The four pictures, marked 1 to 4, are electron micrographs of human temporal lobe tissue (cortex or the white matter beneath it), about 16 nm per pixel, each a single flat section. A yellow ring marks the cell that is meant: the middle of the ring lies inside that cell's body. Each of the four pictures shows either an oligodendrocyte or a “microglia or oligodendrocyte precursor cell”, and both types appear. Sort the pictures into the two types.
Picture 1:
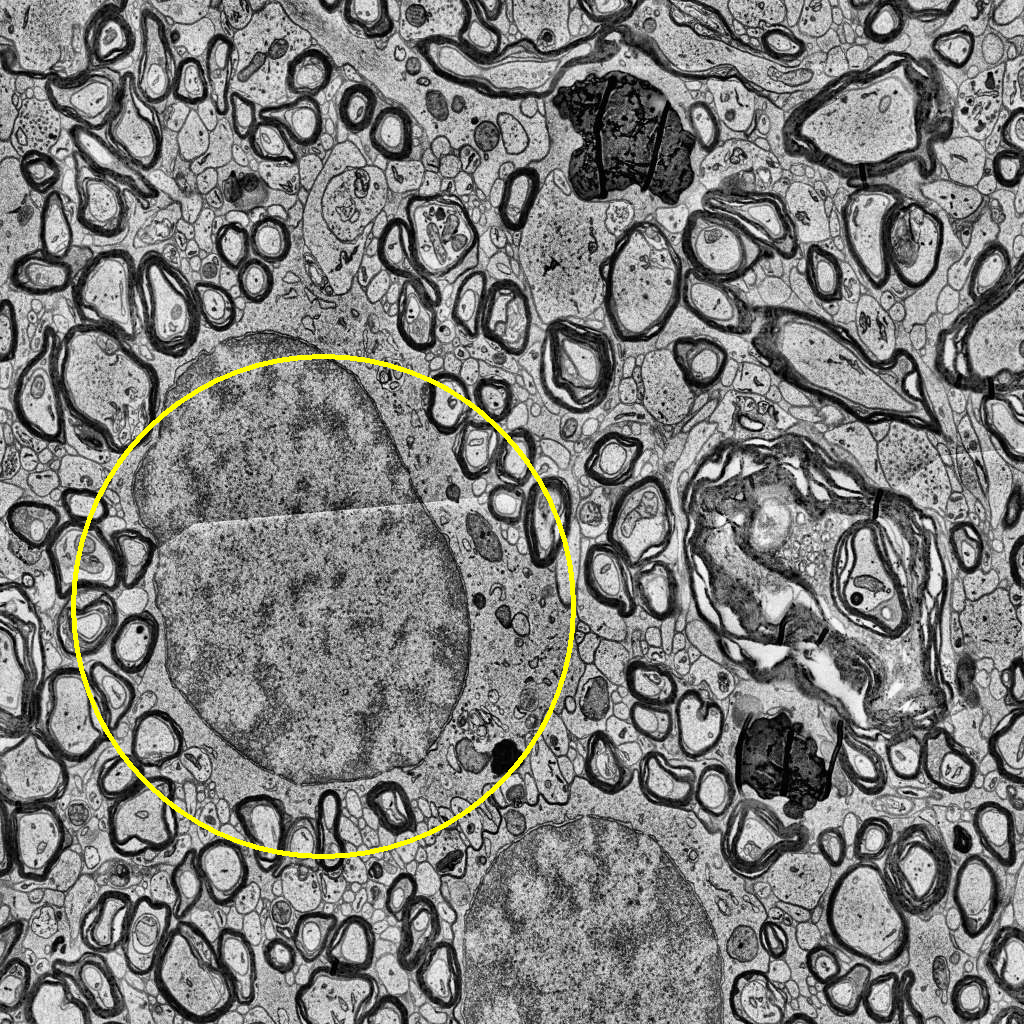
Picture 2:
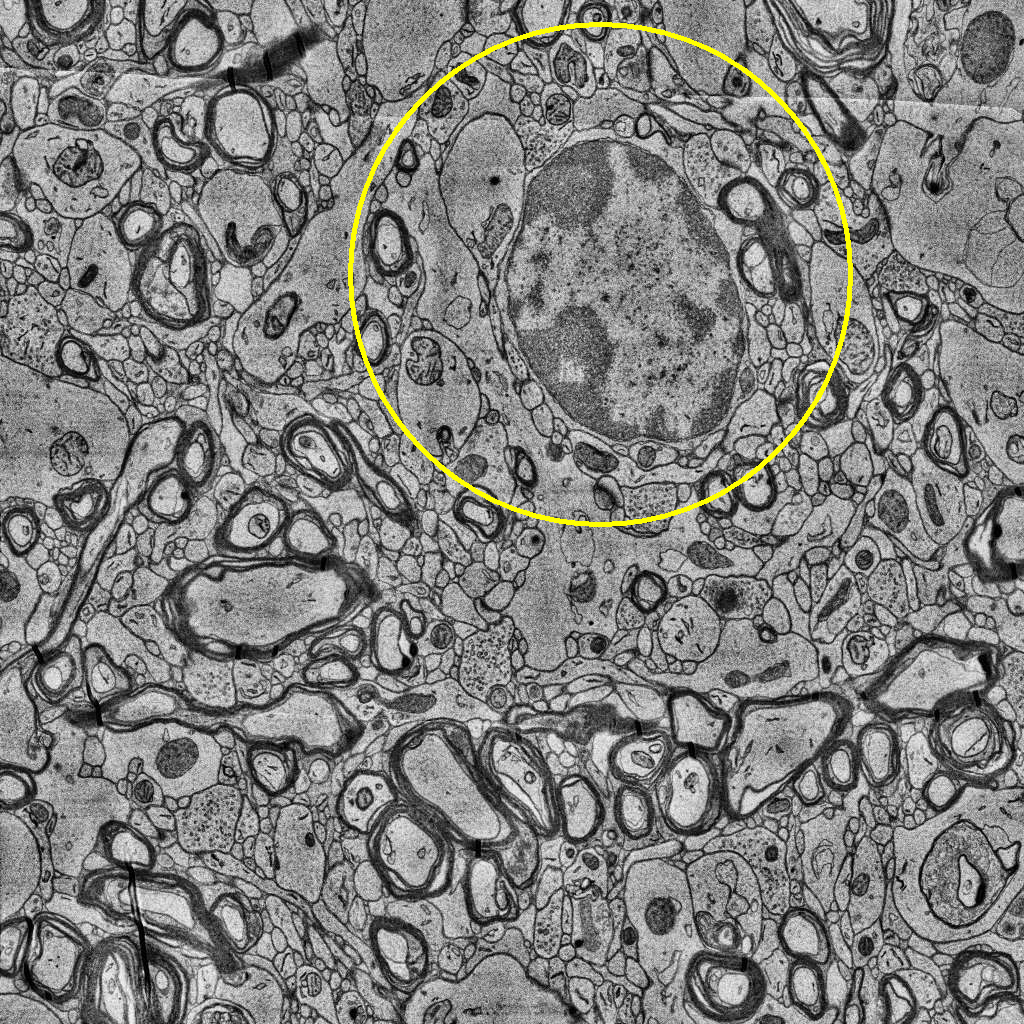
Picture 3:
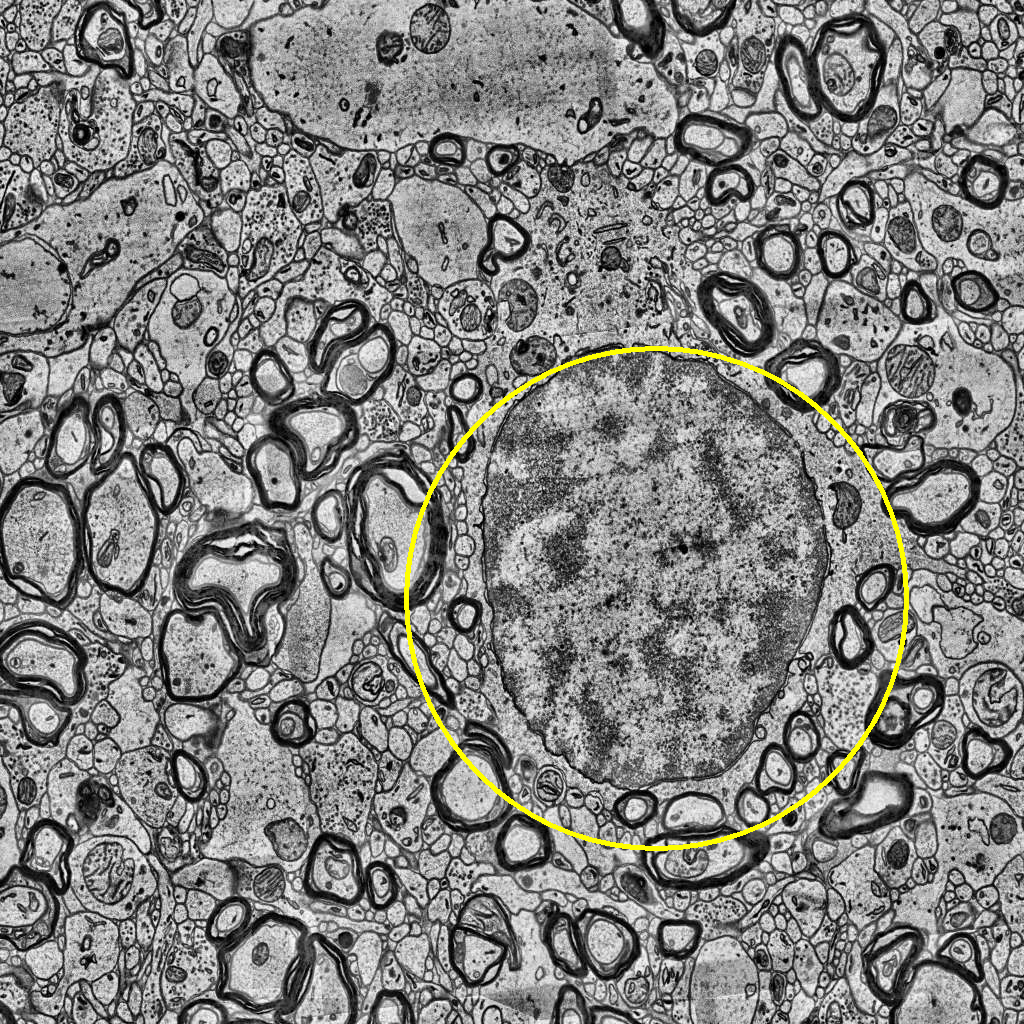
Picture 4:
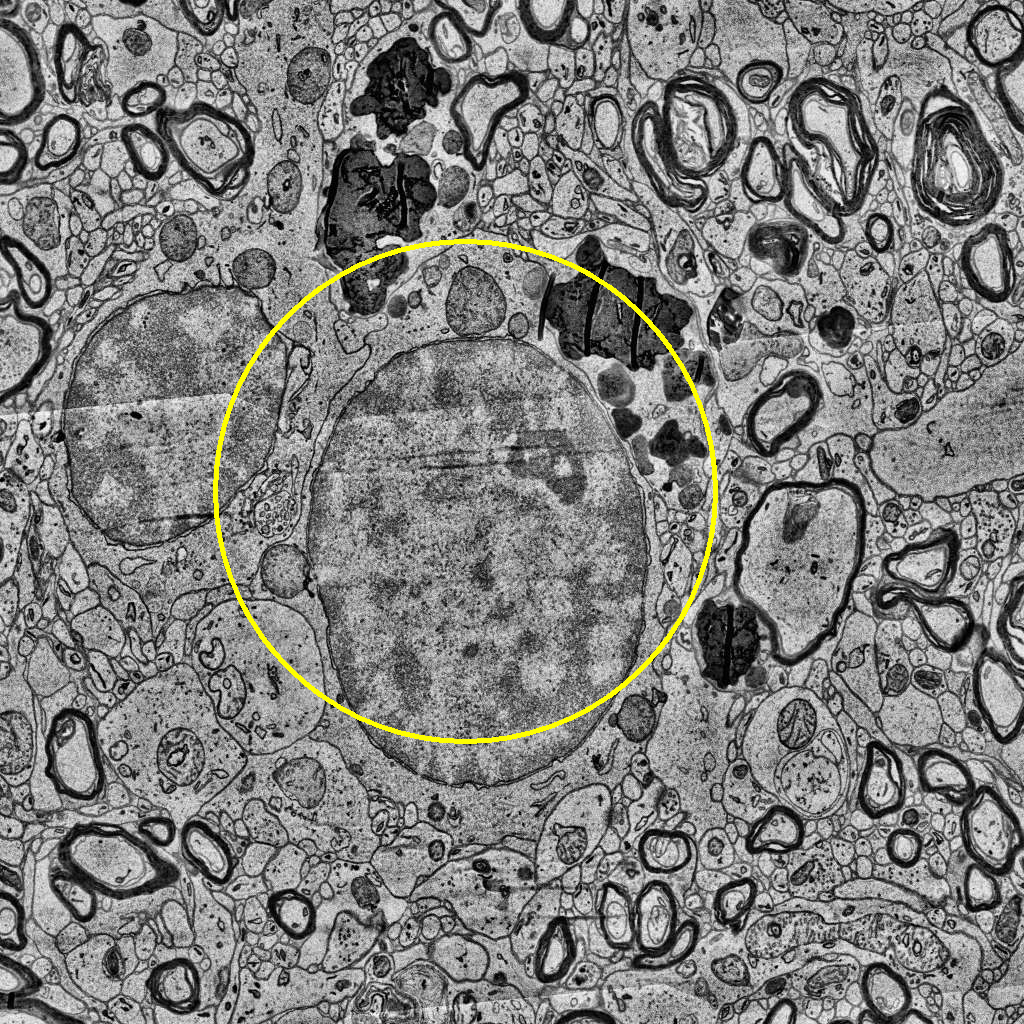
Pictures 1, 3 and 4 show oligodendrocytes; picture 2 shows a “microglia or oligodendrocyte precursor cell”.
